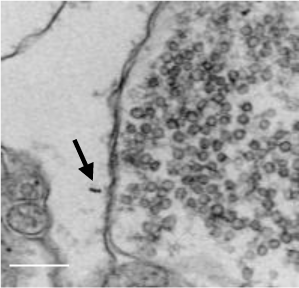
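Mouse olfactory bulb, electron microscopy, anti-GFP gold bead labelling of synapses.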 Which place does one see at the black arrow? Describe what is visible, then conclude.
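The neighbouring profile on the right is packed with round vesicles. The answer: postsynaptic compartment.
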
